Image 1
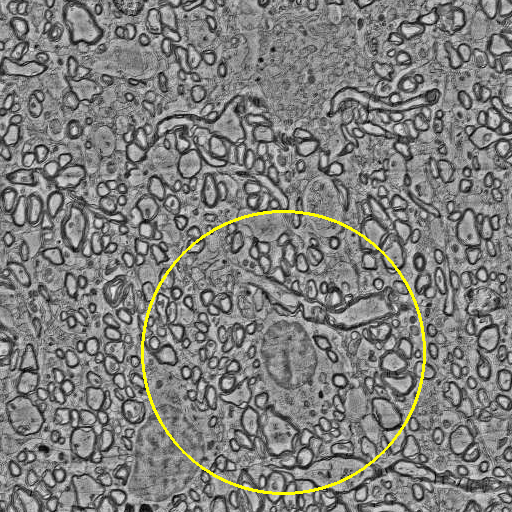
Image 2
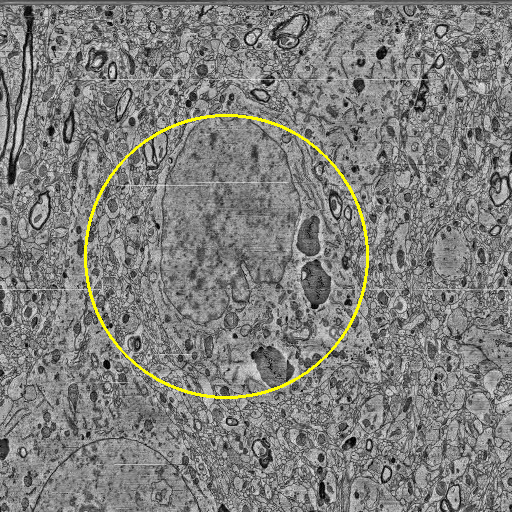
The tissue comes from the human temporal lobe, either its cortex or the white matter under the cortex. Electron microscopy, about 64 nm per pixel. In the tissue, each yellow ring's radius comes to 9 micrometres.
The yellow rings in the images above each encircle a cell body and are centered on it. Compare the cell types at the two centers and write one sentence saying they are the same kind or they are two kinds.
Taken together, the two cells at the ring centers are two kinds.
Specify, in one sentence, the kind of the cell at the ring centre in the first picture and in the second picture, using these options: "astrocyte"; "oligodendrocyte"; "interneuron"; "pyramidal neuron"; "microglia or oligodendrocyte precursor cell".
So the first is an oligodendrocyte, the second an interneuron.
